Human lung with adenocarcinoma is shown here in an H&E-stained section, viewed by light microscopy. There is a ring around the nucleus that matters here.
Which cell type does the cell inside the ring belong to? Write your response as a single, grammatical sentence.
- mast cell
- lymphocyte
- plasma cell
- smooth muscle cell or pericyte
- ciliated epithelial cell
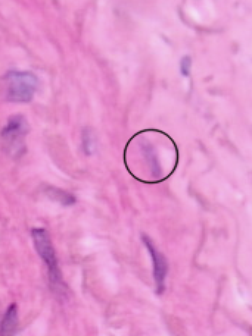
At the level of cell identity, the cell inside the ring is a smooth muscle cell or pericyte.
